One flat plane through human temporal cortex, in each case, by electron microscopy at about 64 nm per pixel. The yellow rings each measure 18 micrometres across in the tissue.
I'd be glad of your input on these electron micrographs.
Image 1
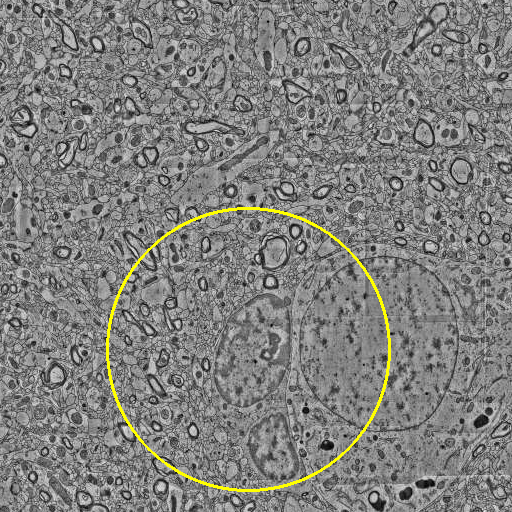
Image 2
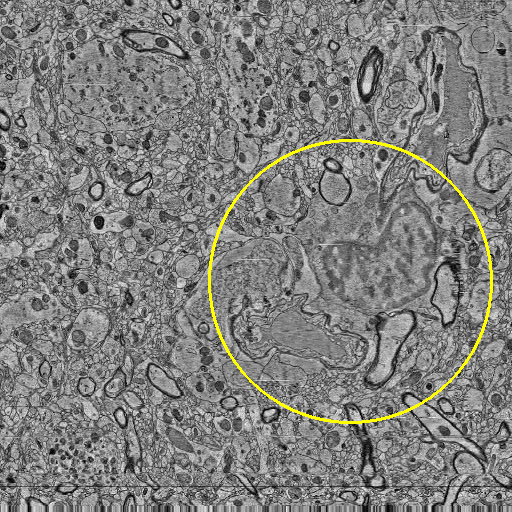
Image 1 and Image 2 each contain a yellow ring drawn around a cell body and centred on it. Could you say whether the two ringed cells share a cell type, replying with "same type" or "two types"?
same type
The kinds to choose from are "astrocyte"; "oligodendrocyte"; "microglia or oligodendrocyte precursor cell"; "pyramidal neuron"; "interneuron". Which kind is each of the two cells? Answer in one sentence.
Each of the two cells is an oligodendrocyte.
